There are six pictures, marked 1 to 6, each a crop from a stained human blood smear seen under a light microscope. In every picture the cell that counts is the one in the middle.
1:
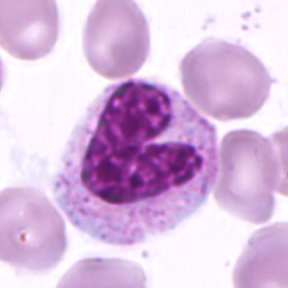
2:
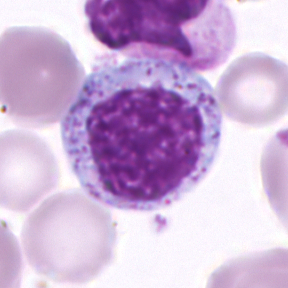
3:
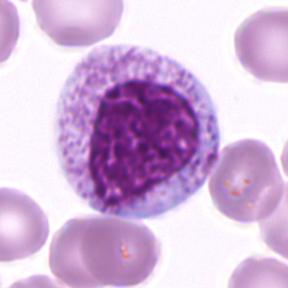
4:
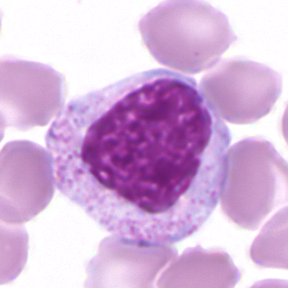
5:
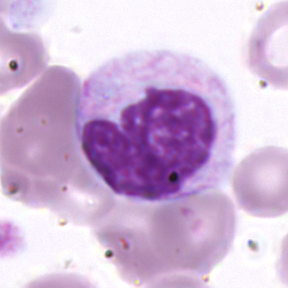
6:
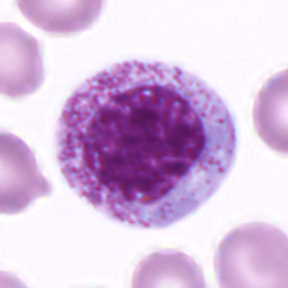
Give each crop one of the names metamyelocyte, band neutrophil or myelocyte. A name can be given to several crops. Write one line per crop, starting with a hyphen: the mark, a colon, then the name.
- 1: band neutrophil
- 2: myelocyte
- 3: metamyelocyte
- 4: metamyelocyte
- 5: band neutrophil
- 6: myelocyte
